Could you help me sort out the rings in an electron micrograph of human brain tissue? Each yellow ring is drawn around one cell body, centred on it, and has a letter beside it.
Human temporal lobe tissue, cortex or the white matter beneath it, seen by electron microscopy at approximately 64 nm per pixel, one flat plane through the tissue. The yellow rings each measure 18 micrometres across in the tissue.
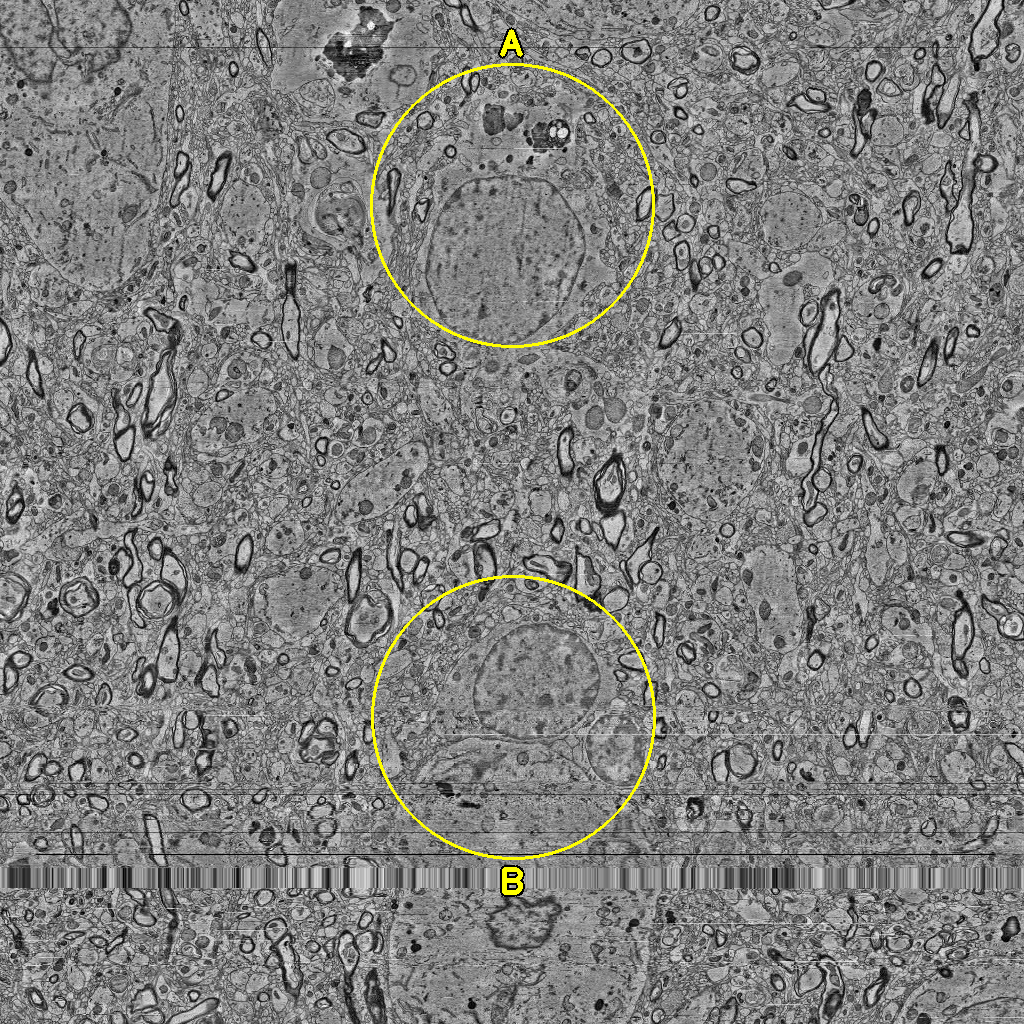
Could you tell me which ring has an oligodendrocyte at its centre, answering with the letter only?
B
